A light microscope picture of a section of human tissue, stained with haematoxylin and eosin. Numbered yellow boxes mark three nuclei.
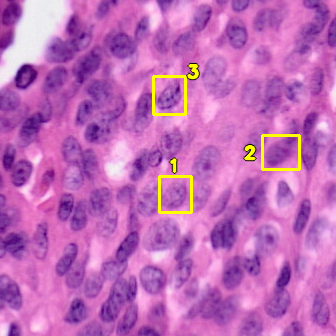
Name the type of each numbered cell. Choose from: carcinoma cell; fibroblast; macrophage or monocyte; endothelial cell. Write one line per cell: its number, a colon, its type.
1: carcinoma cell
2: carcinoma cell
3: macrophage or monocyte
